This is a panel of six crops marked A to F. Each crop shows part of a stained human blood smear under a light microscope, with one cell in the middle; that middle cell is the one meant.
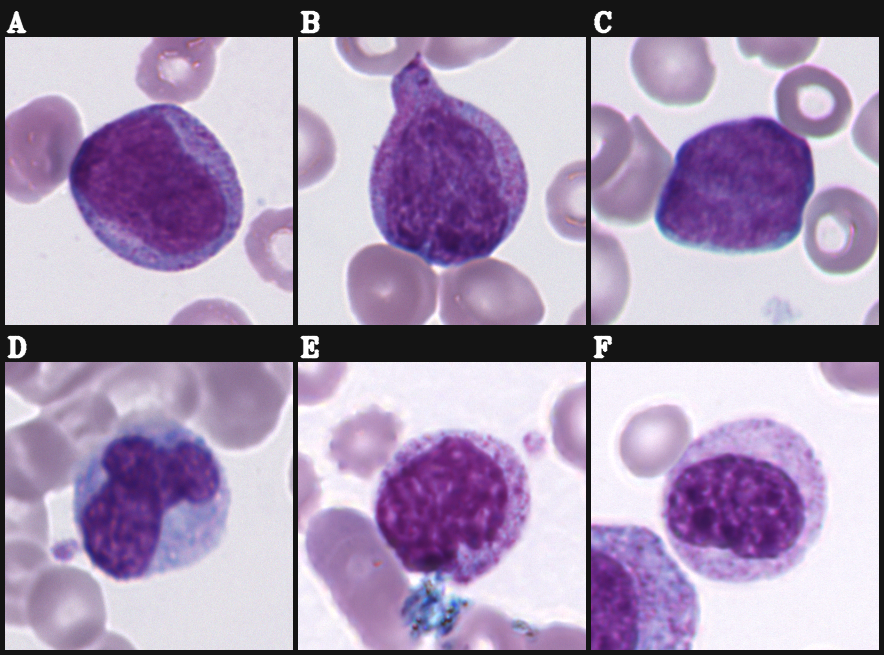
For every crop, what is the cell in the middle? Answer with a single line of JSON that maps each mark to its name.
{"A": "promyelocyte", "B": "atypical promyelocyte", "C": "myeloblast", "D": "monocyte", "E": "metamyelocyte", "F": "metamyelocyte"}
